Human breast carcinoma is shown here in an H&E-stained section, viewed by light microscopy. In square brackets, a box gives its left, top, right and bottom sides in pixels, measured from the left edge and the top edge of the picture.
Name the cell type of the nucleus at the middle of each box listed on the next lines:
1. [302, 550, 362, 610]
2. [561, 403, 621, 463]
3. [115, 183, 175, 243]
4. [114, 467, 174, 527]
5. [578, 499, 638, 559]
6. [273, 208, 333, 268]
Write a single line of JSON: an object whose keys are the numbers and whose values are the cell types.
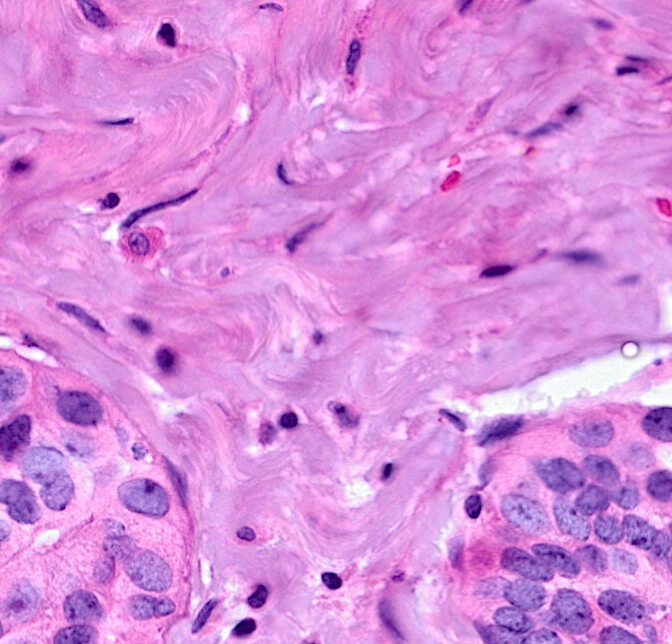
{"1": "lymphocyte", "2": "carcinoma cell", "3": "fibroblast", "4": "carcinoma cell", "5": "carcinoma cell", "6": "fibroblast"}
